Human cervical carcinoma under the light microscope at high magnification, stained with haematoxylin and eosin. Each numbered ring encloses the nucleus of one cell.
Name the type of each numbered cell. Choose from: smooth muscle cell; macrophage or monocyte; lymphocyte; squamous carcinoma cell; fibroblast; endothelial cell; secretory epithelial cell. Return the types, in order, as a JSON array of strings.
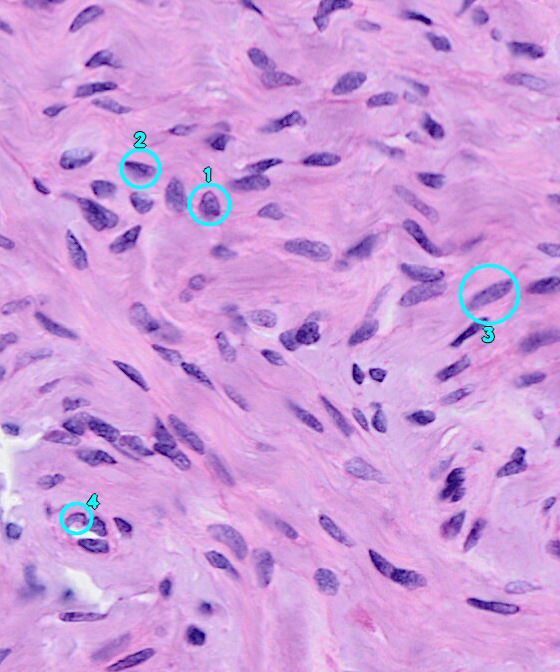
["fibroblast", "fibroblast", "fibroblast", "endothelial cell"]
